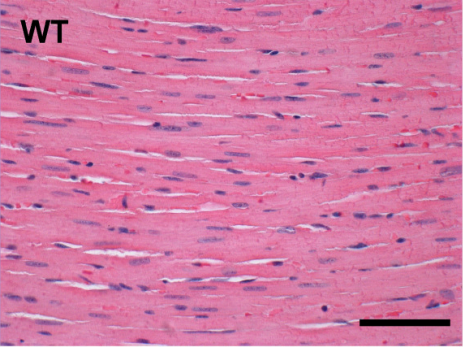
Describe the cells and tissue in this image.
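This is heart muscle cut along its length, made of long myocytes that run in parallel across the field. The cytoplasm of the fibres stains evenly pink. Each fibre carries elongated, oval purple nuclei that lie in its centre and follow its long axis. Narrow pale clefts and a few small dark nuclei, likely of interstitial cells, lie between neighbouring fibres. The fibres are closely packed and no damage or inflammatory infiltrate stands out.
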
